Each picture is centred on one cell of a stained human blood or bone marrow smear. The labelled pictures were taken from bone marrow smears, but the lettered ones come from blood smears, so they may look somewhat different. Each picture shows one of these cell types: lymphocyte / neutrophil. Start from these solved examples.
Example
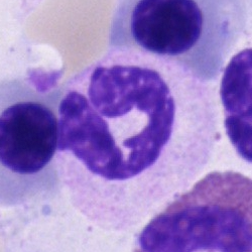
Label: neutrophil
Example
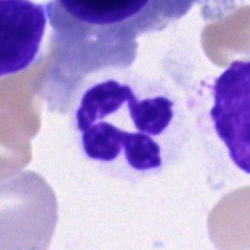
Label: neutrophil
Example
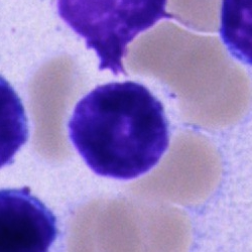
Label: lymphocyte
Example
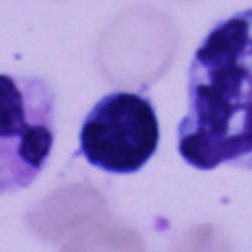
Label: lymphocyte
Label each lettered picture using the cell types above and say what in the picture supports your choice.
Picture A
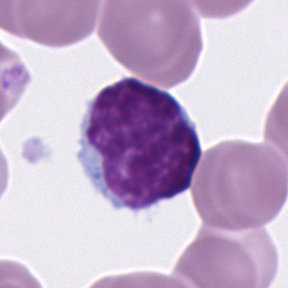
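Answer: lymphocyte. A narrow rim of cytoplasm shows mainly on the left side of the cell.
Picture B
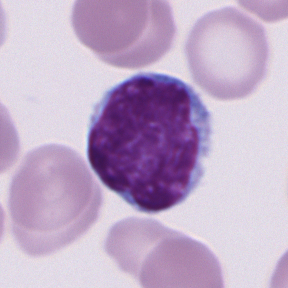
Answer: lymphocyte. The cytoplasm forms only a narrow rim around the nucleus.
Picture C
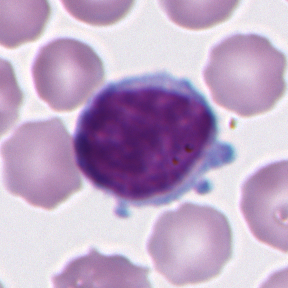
Answer: lymphocyte. The cytoplasm is scant, a thin rim that is widest on the right side.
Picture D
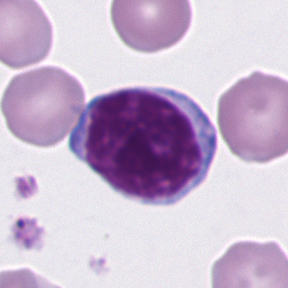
Answer: lymphocyte. The cytoplasm forms only a narrow rim around the nucleus.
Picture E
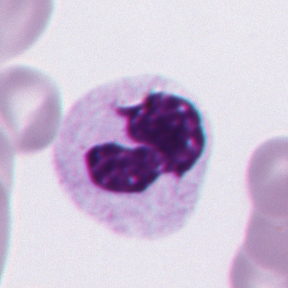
Answer: neutrophil. The nucleus is made of two dense masses joined by a narrower strip.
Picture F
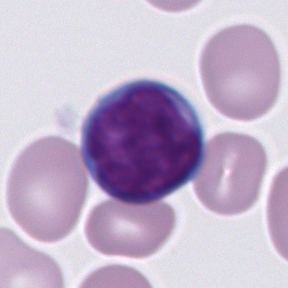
Answer: lymphocyte. The cytoplasm forms only a thin rim at the edge of the nucleus.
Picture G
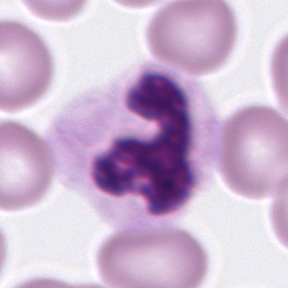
Answer: neutrophil. The cytoplasm is plentiful and pale pinkish-lilac.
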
